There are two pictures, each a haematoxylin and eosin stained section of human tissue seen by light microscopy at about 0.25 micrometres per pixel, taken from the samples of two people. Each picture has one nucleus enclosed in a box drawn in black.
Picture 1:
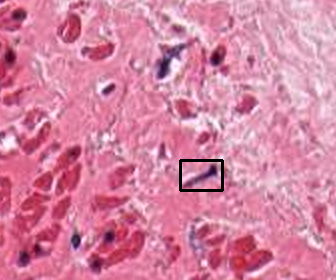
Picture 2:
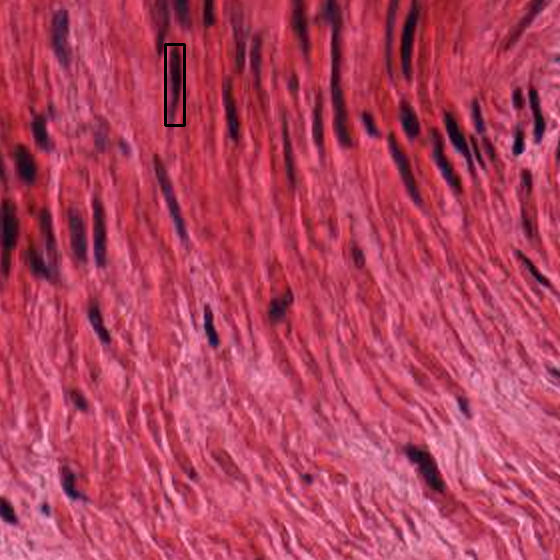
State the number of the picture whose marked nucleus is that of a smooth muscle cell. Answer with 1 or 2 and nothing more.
2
